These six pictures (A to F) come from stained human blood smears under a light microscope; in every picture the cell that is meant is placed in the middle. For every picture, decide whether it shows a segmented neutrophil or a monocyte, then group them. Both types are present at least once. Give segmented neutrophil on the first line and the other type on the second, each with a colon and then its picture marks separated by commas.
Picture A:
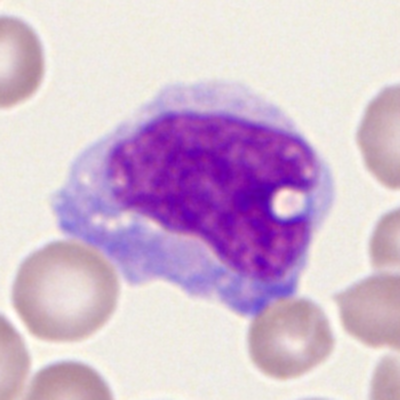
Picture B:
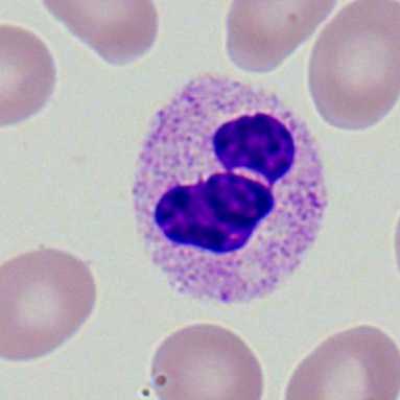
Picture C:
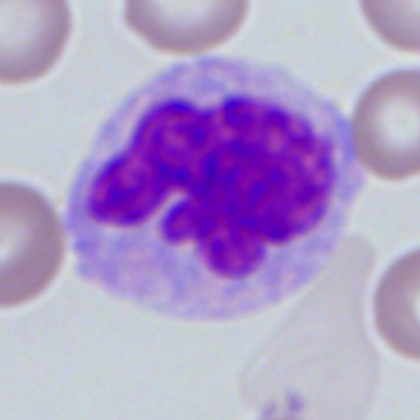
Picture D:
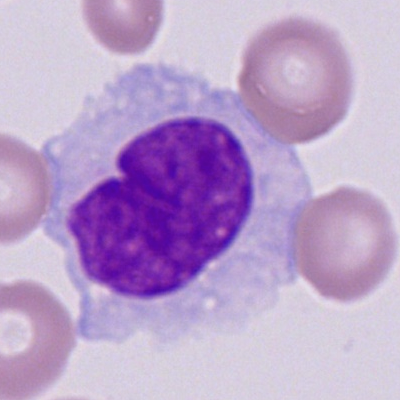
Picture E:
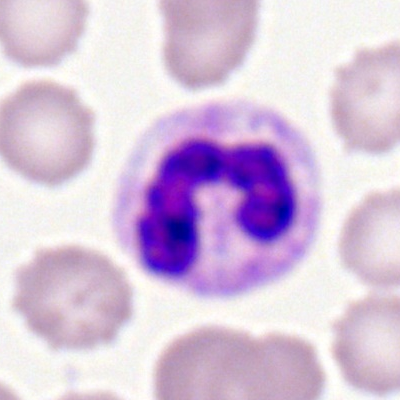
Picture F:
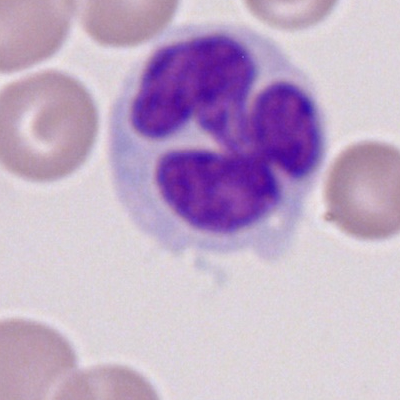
segmented neutrophil: B, E
monocyte: A, C, D, F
